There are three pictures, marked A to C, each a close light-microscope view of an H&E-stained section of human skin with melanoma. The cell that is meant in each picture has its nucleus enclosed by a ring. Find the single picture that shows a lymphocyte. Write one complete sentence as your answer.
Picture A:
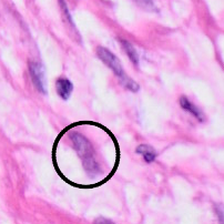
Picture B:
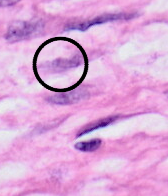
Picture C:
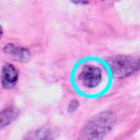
It is picture C that shows the lymphocyte.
